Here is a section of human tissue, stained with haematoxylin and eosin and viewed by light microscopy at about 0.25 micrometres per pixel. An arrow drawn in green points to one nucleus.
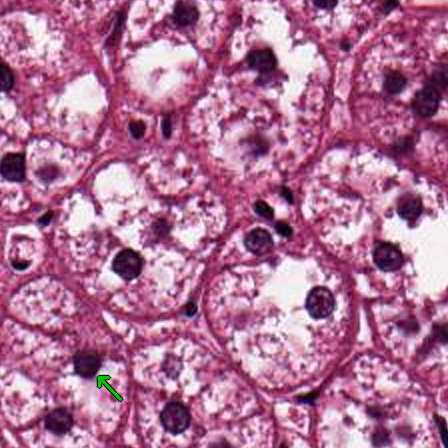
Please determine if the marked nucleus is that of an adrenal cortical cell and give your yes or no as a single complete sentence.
Yes, the owner of the marked nucleus is an adrenal cortical cell.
